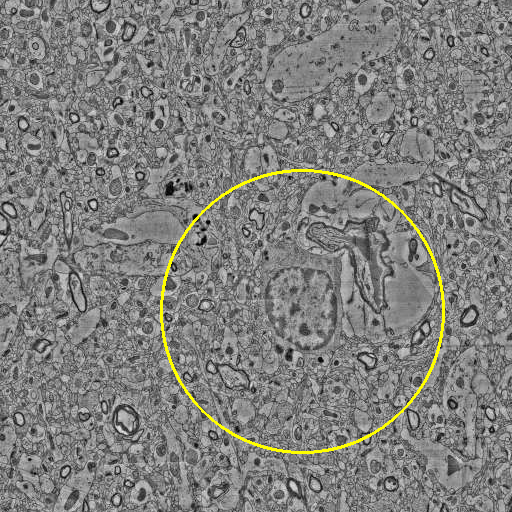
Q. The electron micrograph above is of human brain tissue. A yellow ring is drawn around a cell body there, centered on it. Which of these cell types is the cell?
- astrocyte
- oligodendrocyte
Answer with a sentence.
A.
The cell under the ring's center is an oligodendrocyte.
